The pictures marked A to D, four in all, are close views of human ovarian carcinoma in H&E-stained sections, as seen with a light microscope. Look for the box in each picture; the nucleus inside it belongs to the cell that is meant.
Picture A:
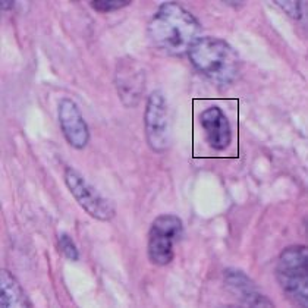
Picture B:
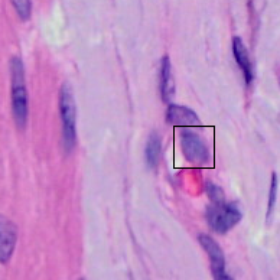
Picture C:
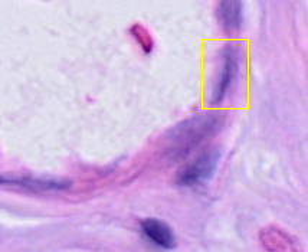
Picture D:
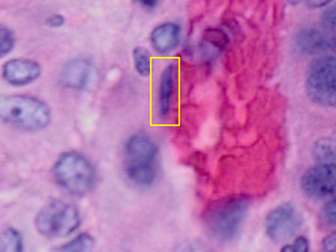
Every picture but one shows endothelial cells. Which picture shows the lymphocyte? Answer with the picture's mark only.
A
